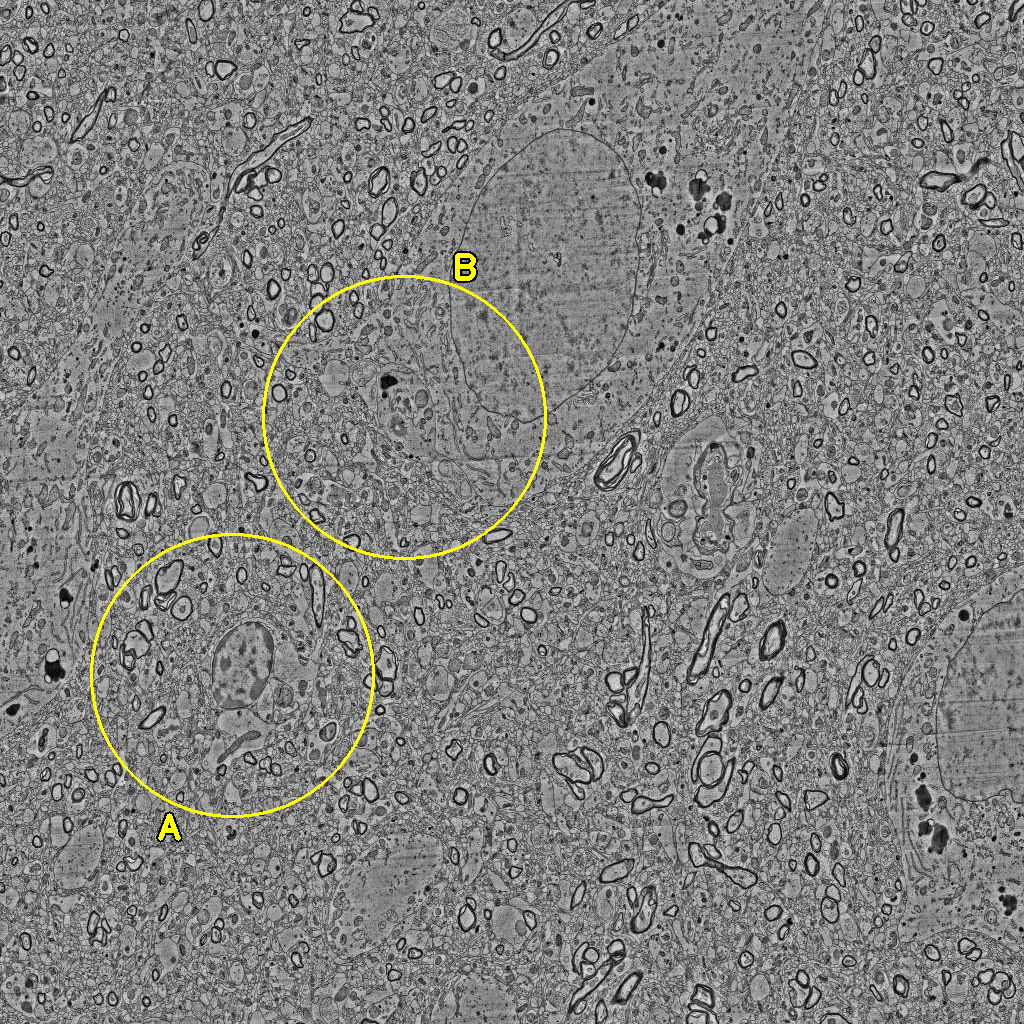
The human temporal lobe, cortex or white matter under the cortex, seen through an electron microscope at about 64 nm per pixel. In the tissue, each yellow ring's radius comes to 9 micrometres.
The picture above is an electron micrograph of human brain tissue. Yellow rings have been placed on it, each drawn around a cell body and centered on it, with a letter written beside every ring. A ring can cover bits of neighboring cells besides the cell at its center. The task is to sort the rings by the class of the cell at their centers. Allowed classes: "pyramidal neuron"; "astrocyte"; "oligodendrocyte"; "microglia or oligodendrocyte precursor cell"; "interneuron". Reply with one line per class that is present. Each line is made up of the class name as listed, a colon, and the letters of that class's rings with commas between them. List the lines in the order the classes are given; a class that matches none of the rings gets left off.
oligodendrocyte: B
microglia or oligodendrocyte precursor cell: A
